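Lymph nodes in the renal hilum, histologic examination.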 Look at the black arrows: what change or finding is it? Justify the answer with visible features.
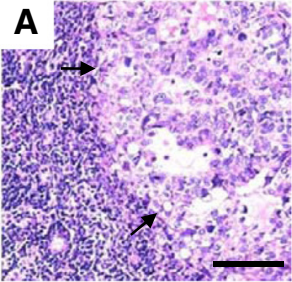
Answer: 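The arrows point to the border of this pale cell focus.
Metastasis.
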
